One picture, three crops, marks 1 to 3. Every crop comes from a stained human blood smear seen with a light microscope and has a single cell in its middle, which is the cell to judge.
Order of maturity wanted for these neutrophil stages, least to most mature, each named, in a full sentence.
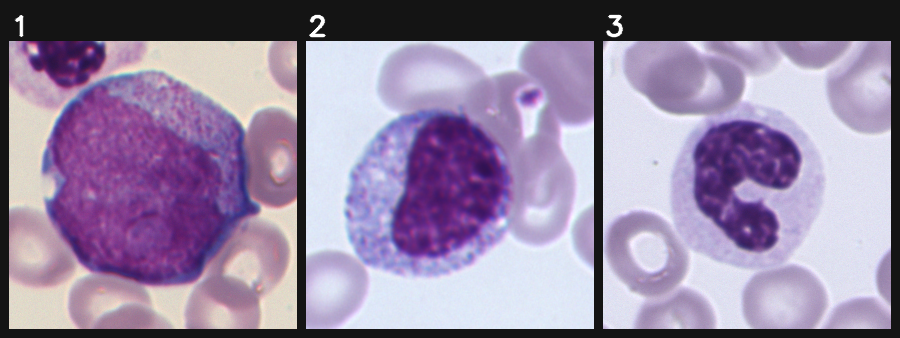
The order, going from least to most mature, is crop 1 (a promyelocyte), crop 2 (a myelocyte) and crop 3 (a band neutrophil).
